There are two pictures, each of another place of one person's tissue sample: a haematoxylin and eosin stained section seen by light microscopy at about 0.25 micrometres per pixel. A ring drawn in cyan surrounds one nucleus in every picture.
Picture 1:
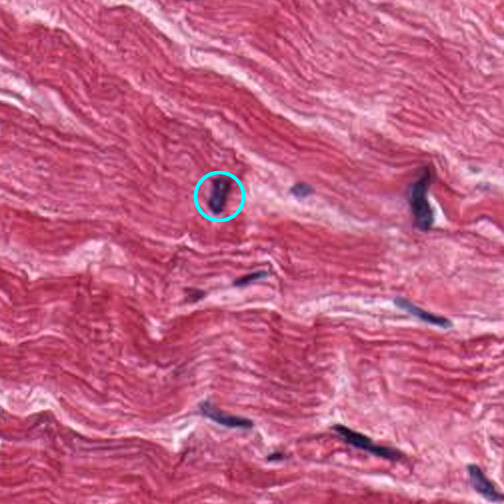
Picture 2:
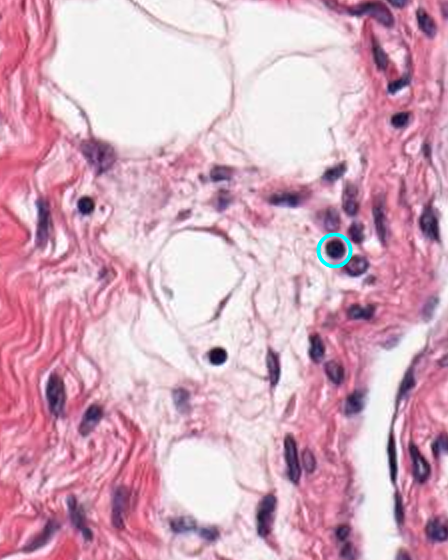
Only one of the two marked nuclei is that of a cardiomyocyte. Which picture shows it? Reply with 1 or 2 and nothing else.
1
